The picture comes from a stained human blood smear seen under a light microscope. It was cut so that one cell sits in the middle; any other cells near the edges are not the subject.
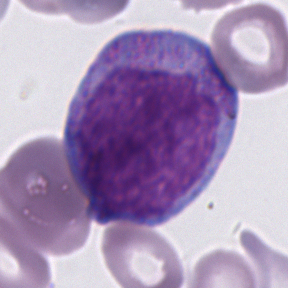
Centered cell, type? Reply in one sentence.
Positioned in the middle of the crop is a promyelocyte.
